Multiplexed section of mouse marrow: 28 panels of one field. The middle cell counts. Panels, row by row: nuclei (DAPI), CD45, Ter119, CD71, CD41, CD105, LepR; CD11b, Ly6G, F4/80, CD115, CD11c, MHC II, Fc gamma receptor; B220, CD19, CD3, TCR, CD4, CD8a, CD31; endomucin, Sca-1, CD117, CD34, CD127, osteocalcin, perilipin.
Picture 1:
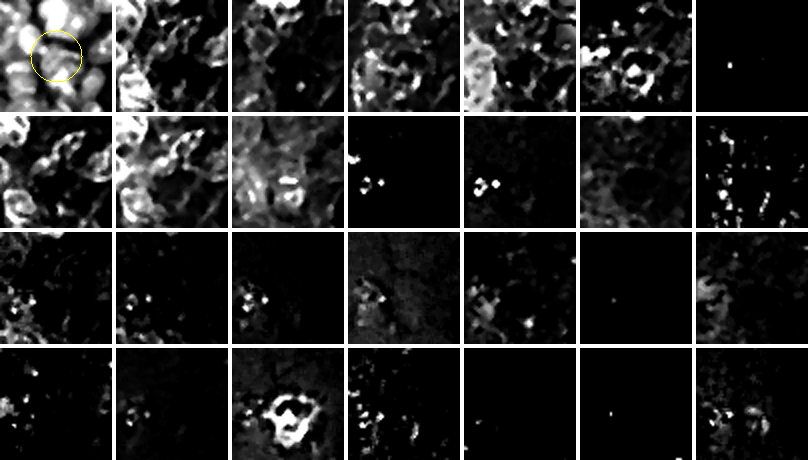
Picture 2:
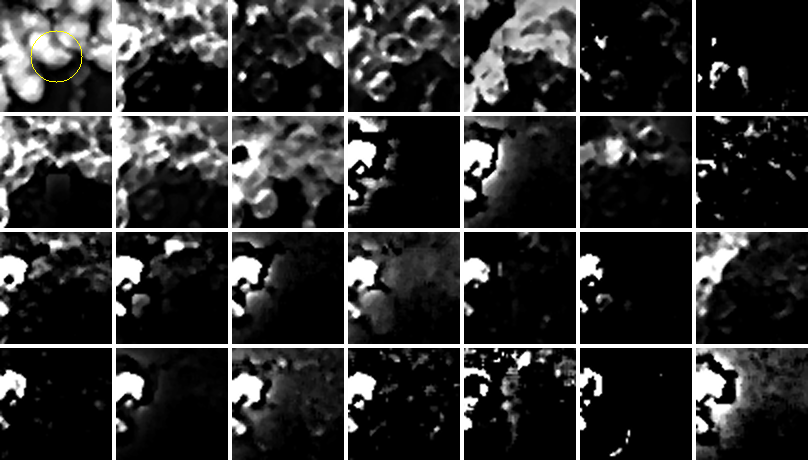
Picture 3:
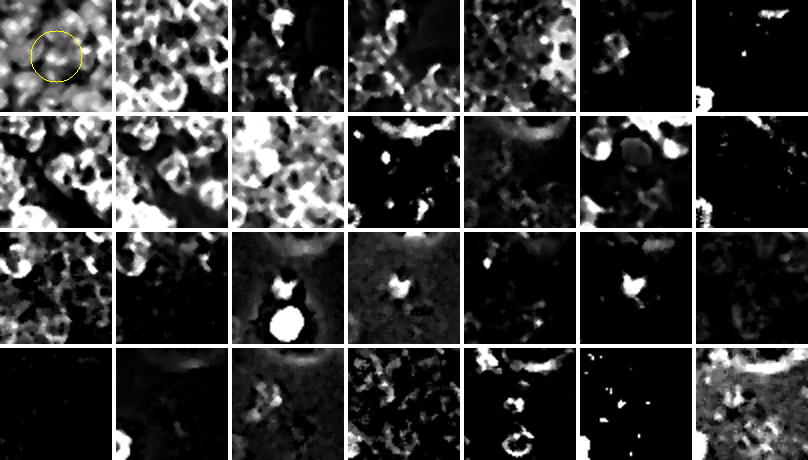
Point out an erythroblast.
That is picture 2.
